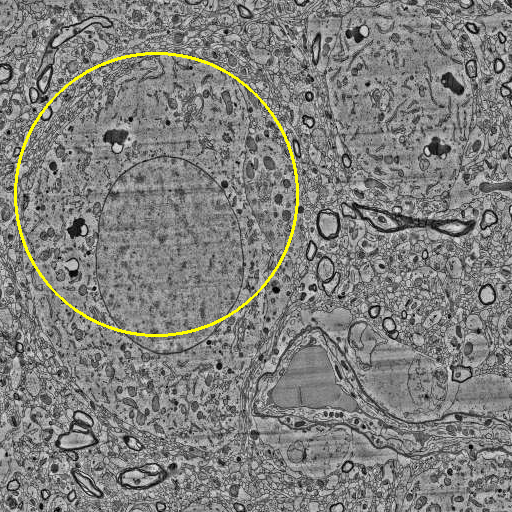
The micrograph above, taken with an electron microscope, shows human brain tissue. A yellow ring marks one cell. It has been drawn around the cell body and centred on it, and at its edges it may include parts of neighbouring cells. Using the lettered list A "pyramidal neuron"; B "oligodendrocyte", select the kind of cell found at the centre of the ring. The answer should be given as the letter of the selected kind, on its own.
A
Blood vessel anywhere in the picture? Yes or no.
Yes, a blood vessel can be seen.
